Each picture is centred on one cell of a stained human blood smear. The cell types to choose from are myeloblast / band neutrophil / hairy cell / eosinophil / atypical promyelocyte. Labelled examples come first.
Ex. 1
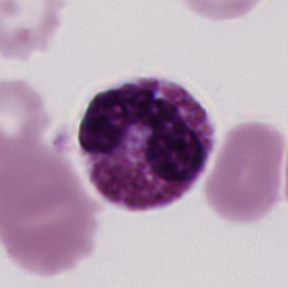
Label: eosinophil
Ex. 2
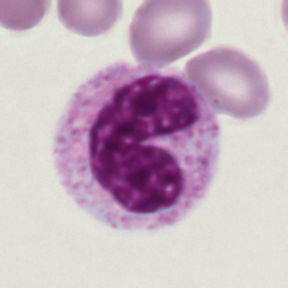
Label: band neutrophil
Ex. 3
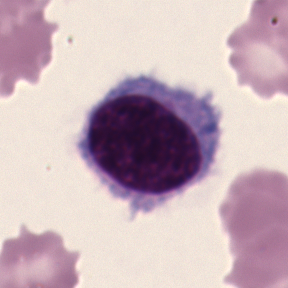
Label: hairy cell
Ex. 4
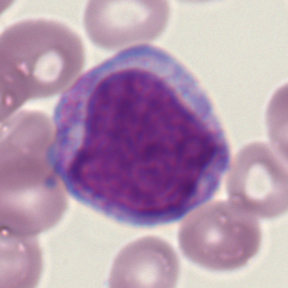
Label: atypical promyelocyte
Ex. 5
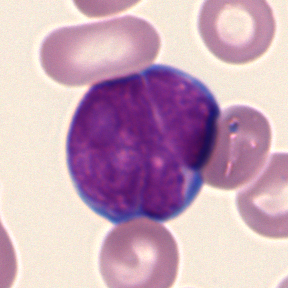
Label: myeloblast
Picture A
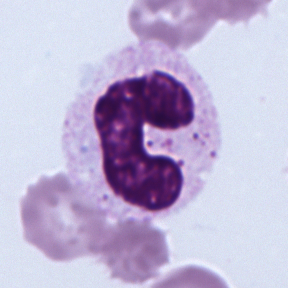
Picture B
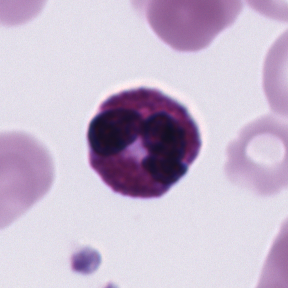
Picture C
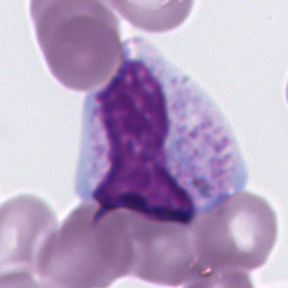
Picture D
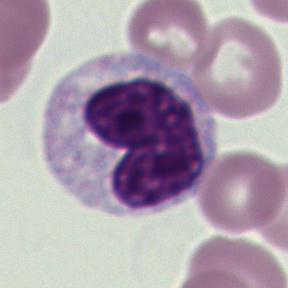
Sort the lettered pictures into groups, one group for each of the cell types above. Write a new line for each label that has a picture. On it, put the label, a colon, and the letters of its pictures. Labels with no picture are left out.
band neutrophil: A, C, D
eosinophil: B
